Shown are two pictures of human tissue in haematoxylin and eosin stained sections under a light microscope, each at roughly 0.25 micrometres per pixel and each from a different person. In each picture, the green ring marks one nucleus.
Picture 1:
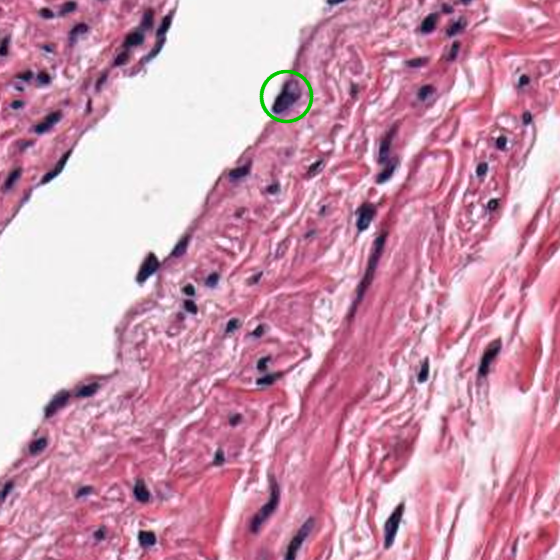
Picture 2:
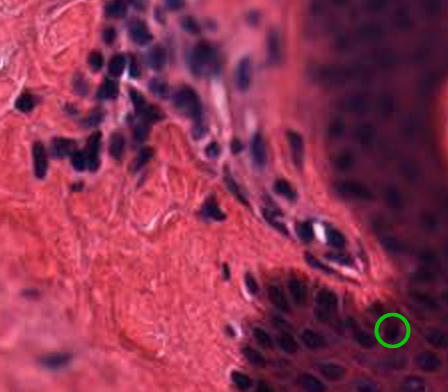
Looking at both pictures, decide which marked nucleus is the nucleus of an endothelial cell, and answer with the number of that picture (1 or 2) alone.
1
